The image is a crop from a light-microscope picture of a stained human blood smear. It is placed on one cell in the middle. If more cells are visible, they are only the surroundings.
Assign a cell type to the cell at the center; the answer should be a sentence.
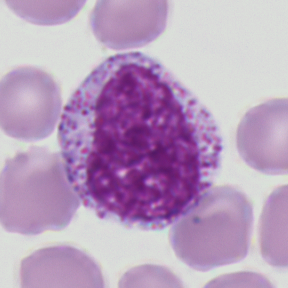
The cell of interest, located centrally, is a metamyelocyte.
